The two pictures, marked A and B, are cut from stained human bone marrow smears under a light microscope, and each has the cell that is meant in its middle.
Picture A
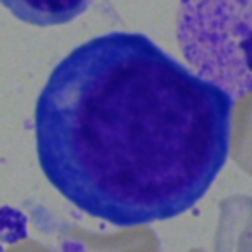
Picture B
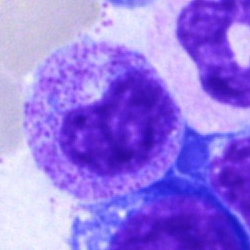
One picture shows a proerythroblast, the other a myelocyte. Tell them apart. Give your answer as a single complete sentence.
Picture B shows a myelocyte, while picture A shows a proerythroblast.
